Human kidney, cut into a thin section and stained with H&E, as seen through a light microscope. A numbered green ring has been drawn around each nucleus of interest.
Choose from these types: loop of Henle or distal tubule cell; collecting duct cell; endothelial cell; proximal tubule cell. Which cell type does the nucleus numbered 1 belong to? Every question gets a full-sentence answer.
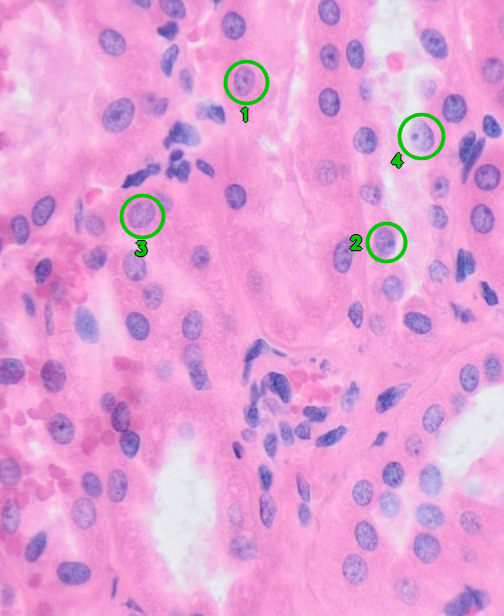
The cell assigned the number 1 is a proximal tubule cell.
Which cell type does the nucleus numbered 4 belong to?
At number 4, the marked cell is a loop of Henle or distal tubule cell.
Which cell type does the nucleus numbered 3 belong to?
Cell 3 should be recorded as a proximal tubule cell.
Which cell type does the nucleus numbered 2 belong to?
The numbered cell 2 is identified here as a loop of Henle or distal tubule cell.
